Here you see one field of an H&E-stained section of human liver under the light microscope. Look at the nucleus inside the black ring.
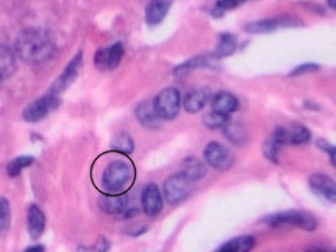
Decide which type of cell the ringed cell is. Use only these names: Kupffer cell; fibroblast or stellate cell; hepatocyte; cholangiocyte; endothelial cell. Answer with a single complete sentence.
It is as a cholangiocyte that the ringed cell is recorded.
